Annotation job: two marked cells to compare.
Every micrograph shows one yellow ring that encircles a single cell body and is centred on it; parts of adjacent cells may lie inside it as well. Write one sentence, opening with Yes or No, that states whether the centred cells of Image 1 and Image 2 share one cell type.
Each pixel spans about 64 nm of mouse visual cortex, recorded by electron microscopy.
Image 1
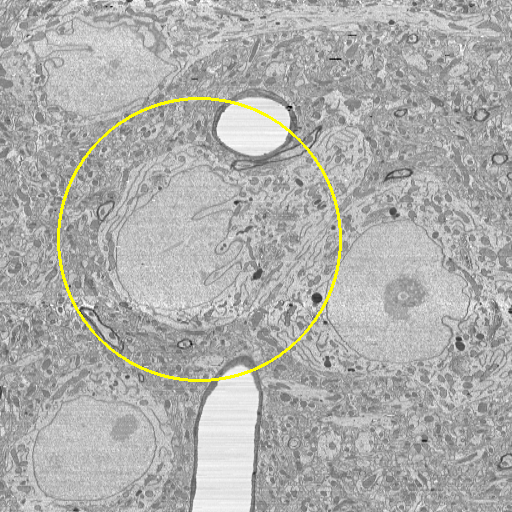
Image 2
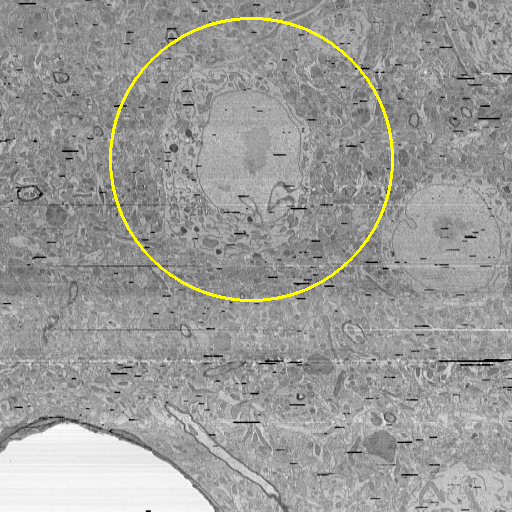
Yes, the cell centred in Image 1 shares its type with the cell centred in Image 2.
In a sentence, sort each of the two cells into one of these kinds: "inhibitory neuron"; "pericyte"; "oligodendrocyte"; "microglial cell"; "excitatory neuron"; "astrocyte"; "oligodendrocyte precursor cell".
The second cell is an inhibitory neuron, just as the first is.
